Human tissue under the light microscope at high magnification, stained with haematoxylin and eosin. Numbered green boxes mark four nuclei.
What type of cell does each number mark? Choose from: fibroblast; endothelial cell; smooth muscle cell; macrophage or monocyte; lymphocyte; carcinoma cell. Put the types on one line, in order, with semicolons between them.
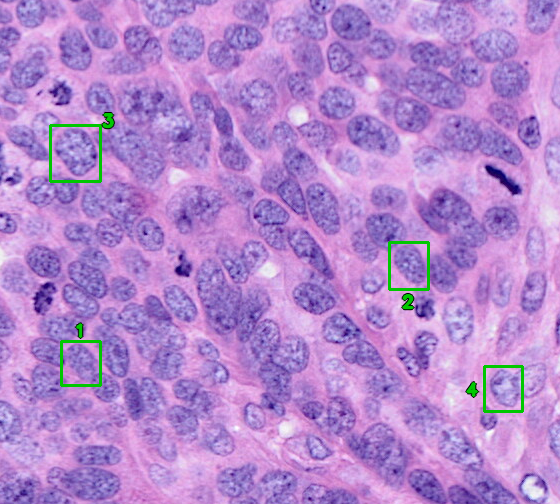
carcinoma cell; carcinoma cell; carcinoma cell; fibroblast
